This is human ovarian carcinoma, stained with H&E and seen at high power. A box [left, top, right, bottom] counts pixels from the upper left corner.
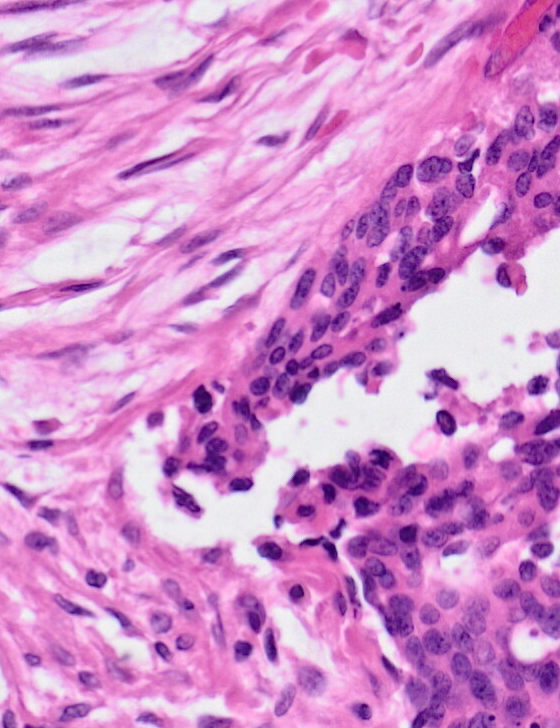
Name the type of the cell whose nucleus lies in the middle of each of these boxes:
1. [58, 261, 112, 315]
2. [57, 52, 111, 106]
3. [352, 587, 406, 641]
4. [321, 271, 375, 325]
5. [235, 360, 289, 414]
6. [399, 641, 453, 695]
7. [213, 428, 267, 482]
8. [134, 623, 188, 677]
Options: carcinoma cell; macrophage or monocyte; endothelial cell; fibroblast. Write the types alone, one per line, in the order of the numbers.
fibroblast
fibroblast
carcinoma cell
carcinoma cell
macrophage or monocyte
carcinoma cell
carcinoma cell
fibroblast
